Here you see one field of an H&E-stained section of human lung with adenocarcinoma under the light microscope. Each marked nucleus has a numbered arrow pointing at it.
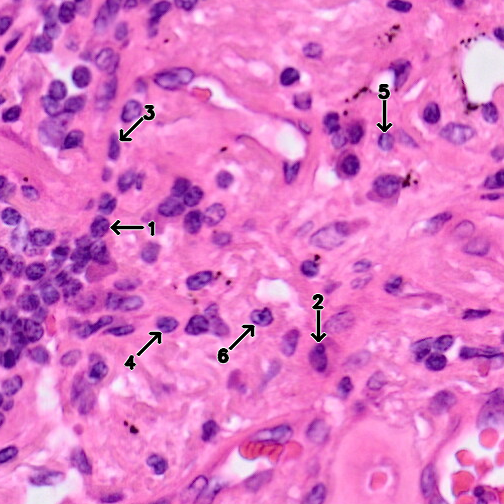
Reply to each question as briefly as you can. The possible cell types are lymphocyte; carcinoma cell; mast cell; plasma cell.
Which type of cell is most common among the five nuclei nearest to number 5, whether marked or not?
plasma cell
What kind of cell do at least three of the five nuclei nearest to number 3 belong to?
lymphocyte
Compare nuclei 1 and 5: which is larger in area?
1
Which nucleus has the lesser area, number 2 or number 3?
3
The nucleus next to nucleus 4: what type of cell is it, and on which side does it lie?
a lymphocyte; to the right of nucleus 4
